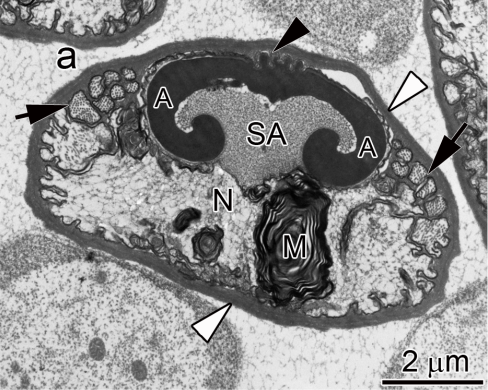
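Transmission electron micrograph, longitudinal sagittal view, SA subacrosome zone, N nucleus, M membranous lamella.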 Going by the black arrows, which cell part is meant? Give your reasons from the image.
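Radial arms. The arrows point to peripheral compartments packed with small round profiles. These compartments lie just inside the outer capsule.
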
